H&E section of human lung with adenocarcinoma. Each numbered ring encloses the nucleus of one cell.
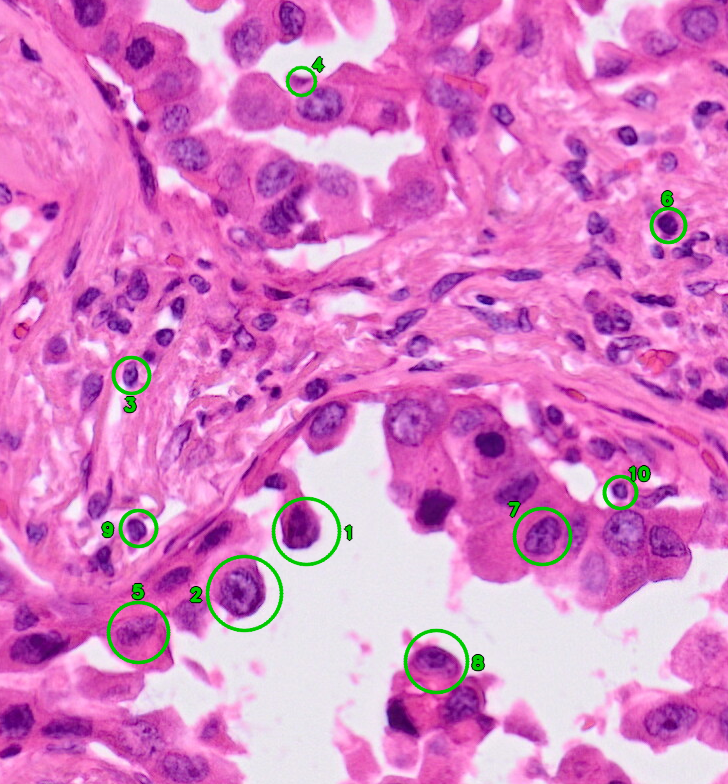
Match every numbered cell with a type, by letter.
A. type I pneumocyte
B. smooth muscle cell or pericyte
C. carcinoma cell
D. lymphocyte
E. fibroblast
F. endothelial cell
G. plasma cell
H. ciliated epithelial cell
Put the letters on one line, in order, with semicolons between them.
C; C; D; C; C; G; C; C; D; D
